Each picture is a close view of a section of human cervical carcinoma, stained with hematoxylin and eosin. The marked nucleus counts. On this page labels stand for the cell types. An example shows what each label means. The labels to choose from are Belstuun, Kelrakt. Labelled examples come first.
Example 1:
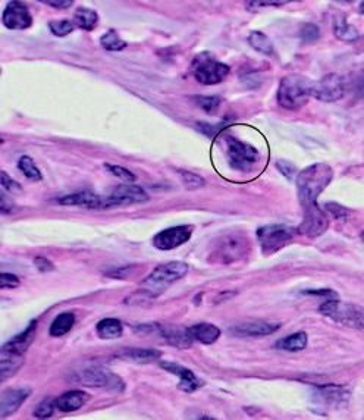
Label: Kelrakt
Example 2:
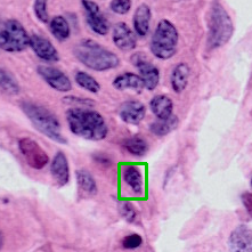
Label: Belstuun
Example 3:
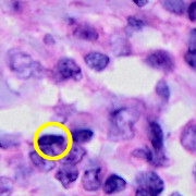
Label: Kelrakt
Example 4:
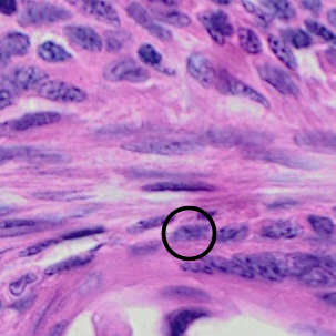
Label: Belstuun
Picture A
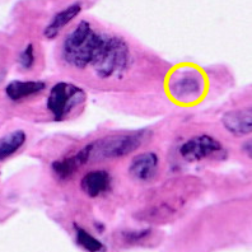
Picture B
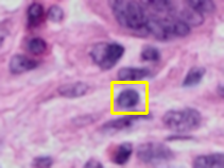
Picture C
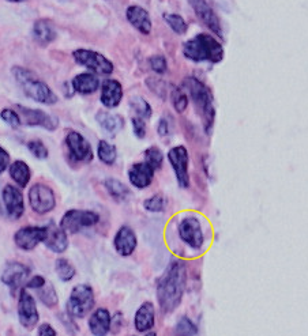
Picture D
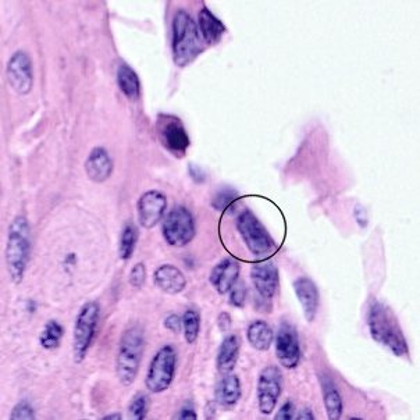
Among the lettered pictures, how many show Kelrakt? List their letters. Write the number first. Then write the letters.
Count: 2 (B, C)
